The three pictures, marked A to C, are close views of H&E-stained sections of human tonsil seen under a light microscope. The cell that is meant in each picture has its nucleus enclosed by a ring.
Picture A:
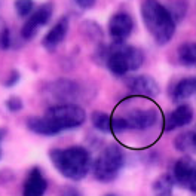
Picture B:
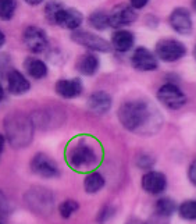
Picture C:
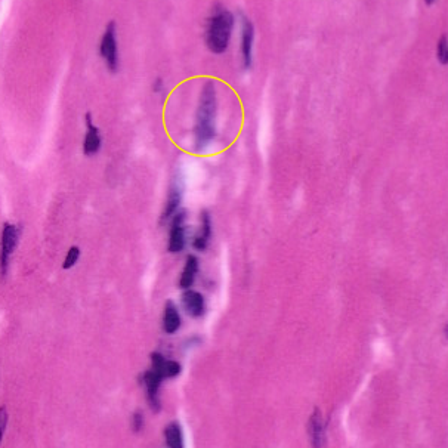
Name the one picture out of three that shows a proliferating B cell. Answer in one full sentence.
Picture A is the one that shows the proliferating B cell.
